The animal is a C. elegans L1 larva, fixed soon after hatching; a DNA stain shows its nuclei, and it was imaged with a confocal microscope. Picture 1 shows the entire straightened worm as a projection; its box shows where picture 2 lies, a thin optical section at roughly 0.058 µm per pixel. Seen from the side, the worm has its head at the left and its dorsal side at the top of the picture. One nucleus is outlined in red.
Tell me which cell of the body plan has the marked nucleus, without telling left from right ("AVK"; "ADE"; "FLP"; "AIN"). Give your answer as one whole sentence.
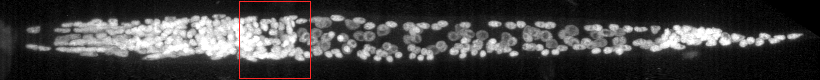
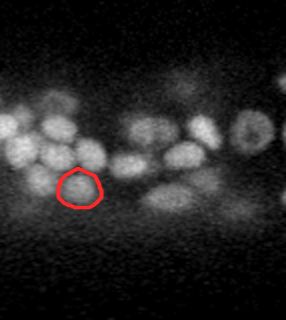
This is the nucleus of AVK, a neuron.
